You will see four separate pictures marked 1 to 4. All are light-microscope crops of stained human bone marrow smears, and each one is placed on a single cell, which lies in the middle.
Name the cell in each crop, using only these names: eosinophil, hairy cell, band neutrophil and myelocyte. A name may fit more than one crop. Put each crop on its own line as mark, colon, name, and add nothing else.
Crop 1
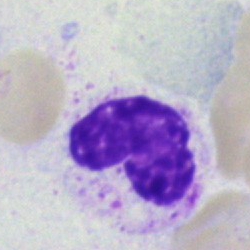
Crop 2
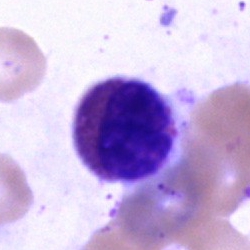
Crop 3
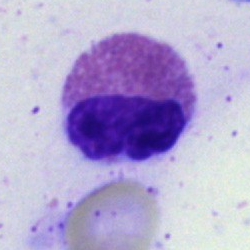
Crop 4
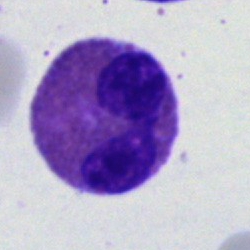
1: band neutrophil
2: eosinophil
3: eosinophil
4: eosinophil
